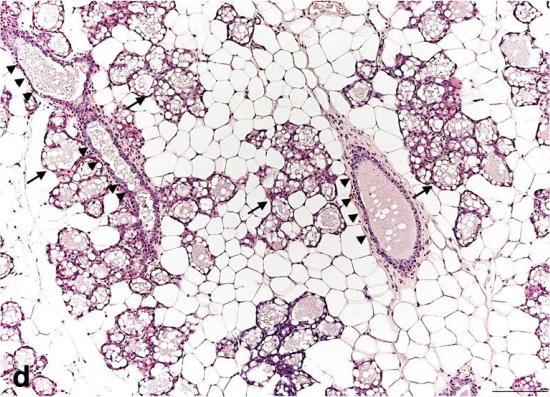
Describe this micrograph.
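Clusters of alveoli with pink-purple walls lie among fat cells, each alveolus filled with many small round clear vacuoles, taken as lipid vacuoles. Elongated ducts with a cellular wall and pink luminal content run between the clusters, and the large clear fat cells are fewer than in resting gland.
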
